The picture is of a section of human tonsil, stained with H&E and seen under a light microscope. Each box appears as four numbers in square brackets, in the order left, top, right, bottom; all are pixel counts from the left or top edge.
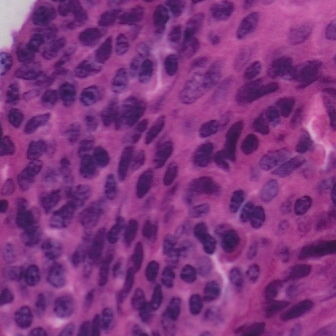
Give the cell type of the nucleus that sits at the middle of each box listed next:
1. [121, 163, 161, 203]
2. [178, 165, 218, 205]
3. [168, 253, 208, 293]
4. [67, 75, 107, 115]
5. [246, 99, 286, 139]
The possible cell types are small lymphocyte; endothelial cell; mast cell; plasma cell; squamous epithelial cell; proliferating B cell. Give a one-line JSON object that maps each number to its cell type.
{"1": "squamous epithelial cell", "2": "squamous epithelial cell", "3": "plasma cell", "4": "plasma cell", "5": "squamous epithelial cell"}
